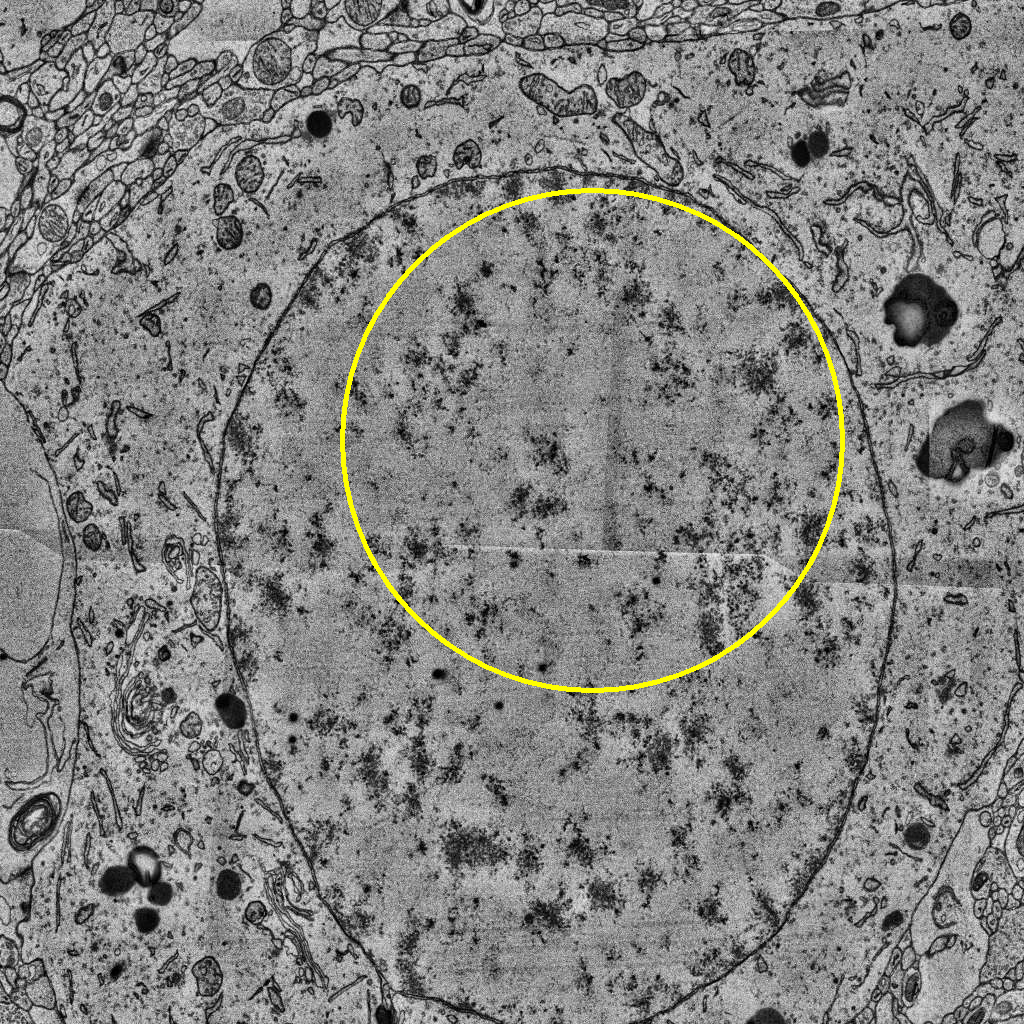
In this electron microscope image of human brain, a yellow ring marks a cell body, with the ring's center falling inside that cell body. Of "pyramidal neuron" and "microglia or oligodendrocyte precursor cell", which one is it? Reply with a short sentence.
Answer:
It is a pyramidal neuron at the center of the ring.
